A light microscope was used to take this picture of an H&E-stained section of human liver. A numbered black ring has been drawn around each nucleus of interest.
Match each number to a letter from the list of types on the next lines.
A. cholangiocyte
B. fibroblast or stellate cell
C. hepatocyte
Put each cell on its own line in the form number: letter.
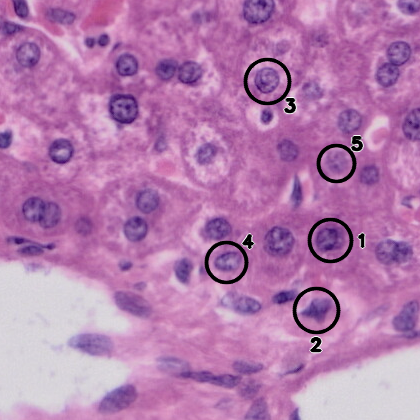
1: C
2: B
3: C
4: A
5: C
